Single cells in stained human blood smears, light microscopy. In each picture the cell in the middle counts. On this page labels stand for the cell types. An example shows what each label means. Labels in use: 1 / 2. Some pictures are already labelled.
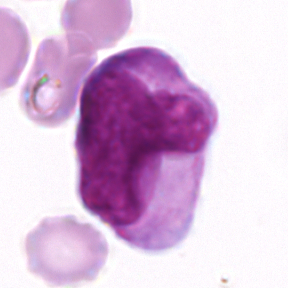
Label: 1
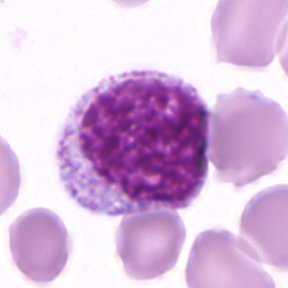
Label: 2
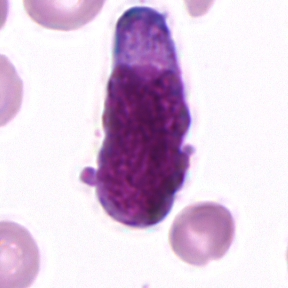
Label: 1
